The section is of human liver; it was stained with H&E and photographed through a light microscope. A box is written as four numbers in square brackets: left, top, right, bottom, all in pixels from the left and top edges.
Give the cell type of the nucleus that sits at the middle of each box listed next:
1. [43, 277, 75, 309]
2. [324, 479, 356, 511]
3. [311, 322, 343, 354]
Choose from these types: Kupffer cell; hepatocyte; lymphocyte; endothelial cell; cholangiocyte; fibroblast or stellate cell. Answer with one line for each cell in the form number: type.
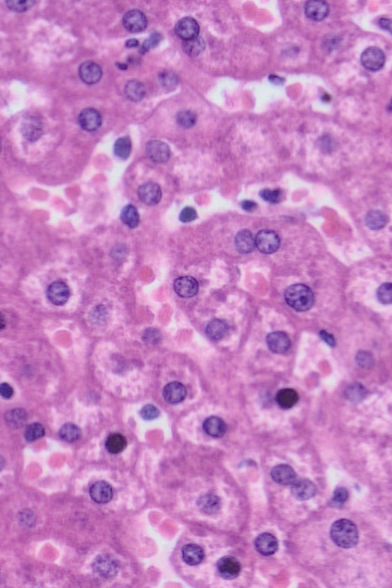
1: hepatocyte
2: Kupffer cell
3: fibroblast or stellate cell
